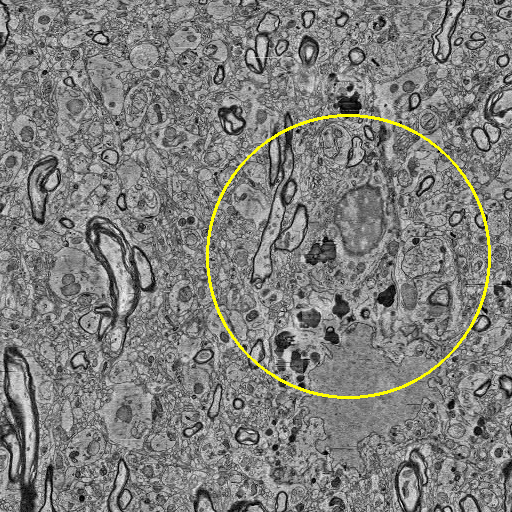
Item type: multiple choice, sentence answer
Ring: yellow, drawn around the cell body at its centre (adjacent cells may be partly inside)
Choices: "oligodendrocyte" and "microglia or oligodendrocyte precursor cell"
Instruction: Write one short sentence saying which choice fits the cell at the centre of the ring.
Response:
This ring is drawn around an oligodendrocyte.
